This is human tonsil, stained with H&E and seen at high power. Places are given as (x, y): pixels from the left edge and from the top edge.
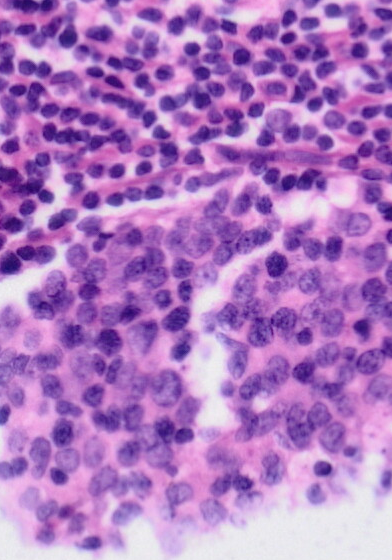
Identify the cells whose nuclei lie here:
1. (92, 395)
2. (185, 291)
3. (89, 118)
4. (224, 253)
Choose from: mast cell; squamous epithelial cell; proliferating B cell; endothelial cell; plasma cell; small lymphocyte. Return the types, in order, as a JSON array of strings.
["proliferating B cell", "proliferating B cell", "small lymphocyte", "proliferating B cell"]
